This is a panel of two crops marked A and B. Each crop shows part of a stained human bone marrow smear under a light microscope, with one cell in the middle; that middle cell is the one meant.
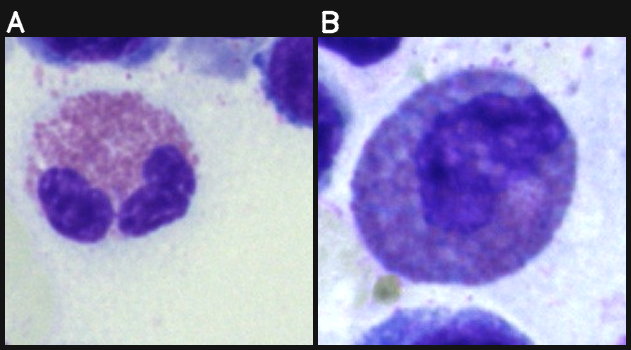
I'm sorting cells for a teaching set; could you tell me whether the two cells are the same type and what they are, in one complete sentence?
Yes, in the case of both crops, the central cells are eosinophils.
